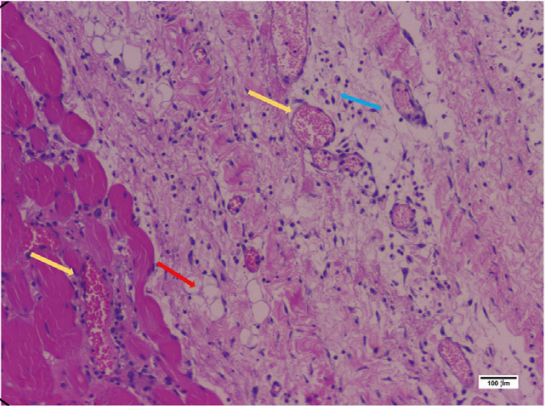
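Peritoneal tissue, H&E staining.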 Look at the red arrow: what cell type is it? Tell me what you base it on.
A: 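The red arrow points to a cluster of round, empty-looking clear spaces. The clear spaces are bounded by thin pink rims.
Conclusion: fat cells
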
